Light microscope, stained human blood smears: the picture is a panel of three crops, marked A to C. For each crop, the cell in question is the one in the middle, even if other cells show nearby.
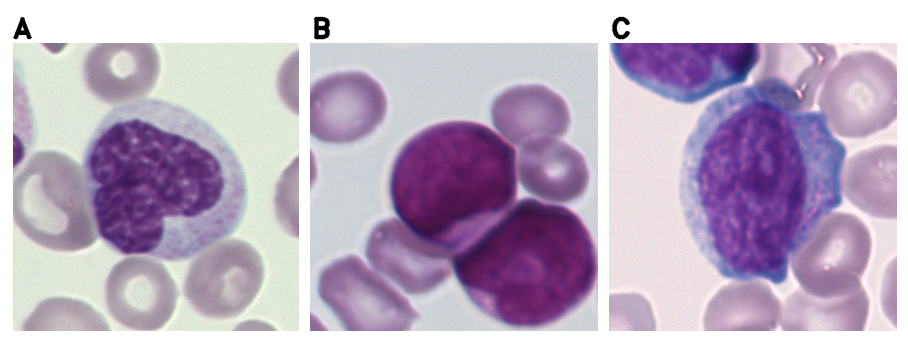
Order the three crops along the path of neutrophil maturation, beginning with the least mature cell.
B, C, A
